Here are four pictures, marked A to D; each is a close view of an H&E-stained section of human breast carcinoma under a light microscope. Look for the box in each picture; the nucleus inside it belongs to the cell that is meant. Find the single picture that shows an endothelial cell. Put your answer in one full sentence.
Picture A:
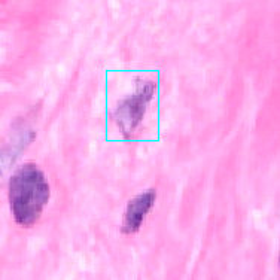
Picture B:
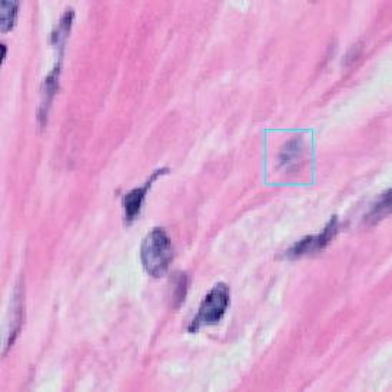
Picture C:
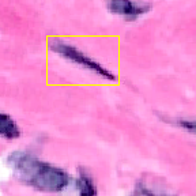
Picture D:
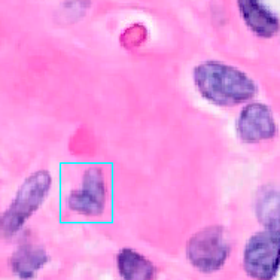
The cell in picture D is the endothelial cell.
